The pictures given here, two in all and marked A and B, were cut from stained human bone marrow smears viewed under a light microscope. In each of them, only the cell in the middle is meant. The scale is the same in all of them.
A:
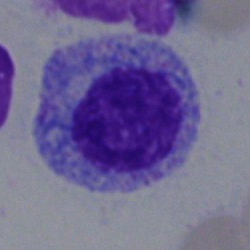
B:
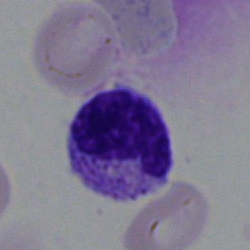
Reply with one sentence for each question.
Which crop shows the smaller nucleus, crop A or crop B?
The nucleus in crop B is smaller; the one in crop A has about 1.5 times its area.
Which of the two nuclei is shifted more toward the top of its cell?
The nucleus in crop B lies further toward the top of its cell.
